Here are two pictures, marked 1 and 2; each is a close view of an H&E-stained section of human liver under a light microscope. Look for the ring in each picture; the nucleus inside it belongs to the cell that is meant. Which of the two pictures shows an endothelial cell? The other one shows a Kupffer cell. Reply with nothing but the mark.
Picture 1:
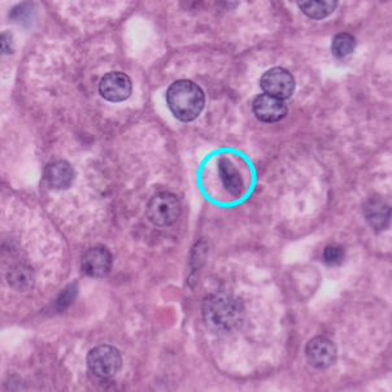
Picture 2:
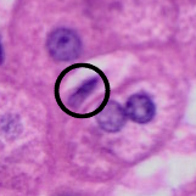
1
